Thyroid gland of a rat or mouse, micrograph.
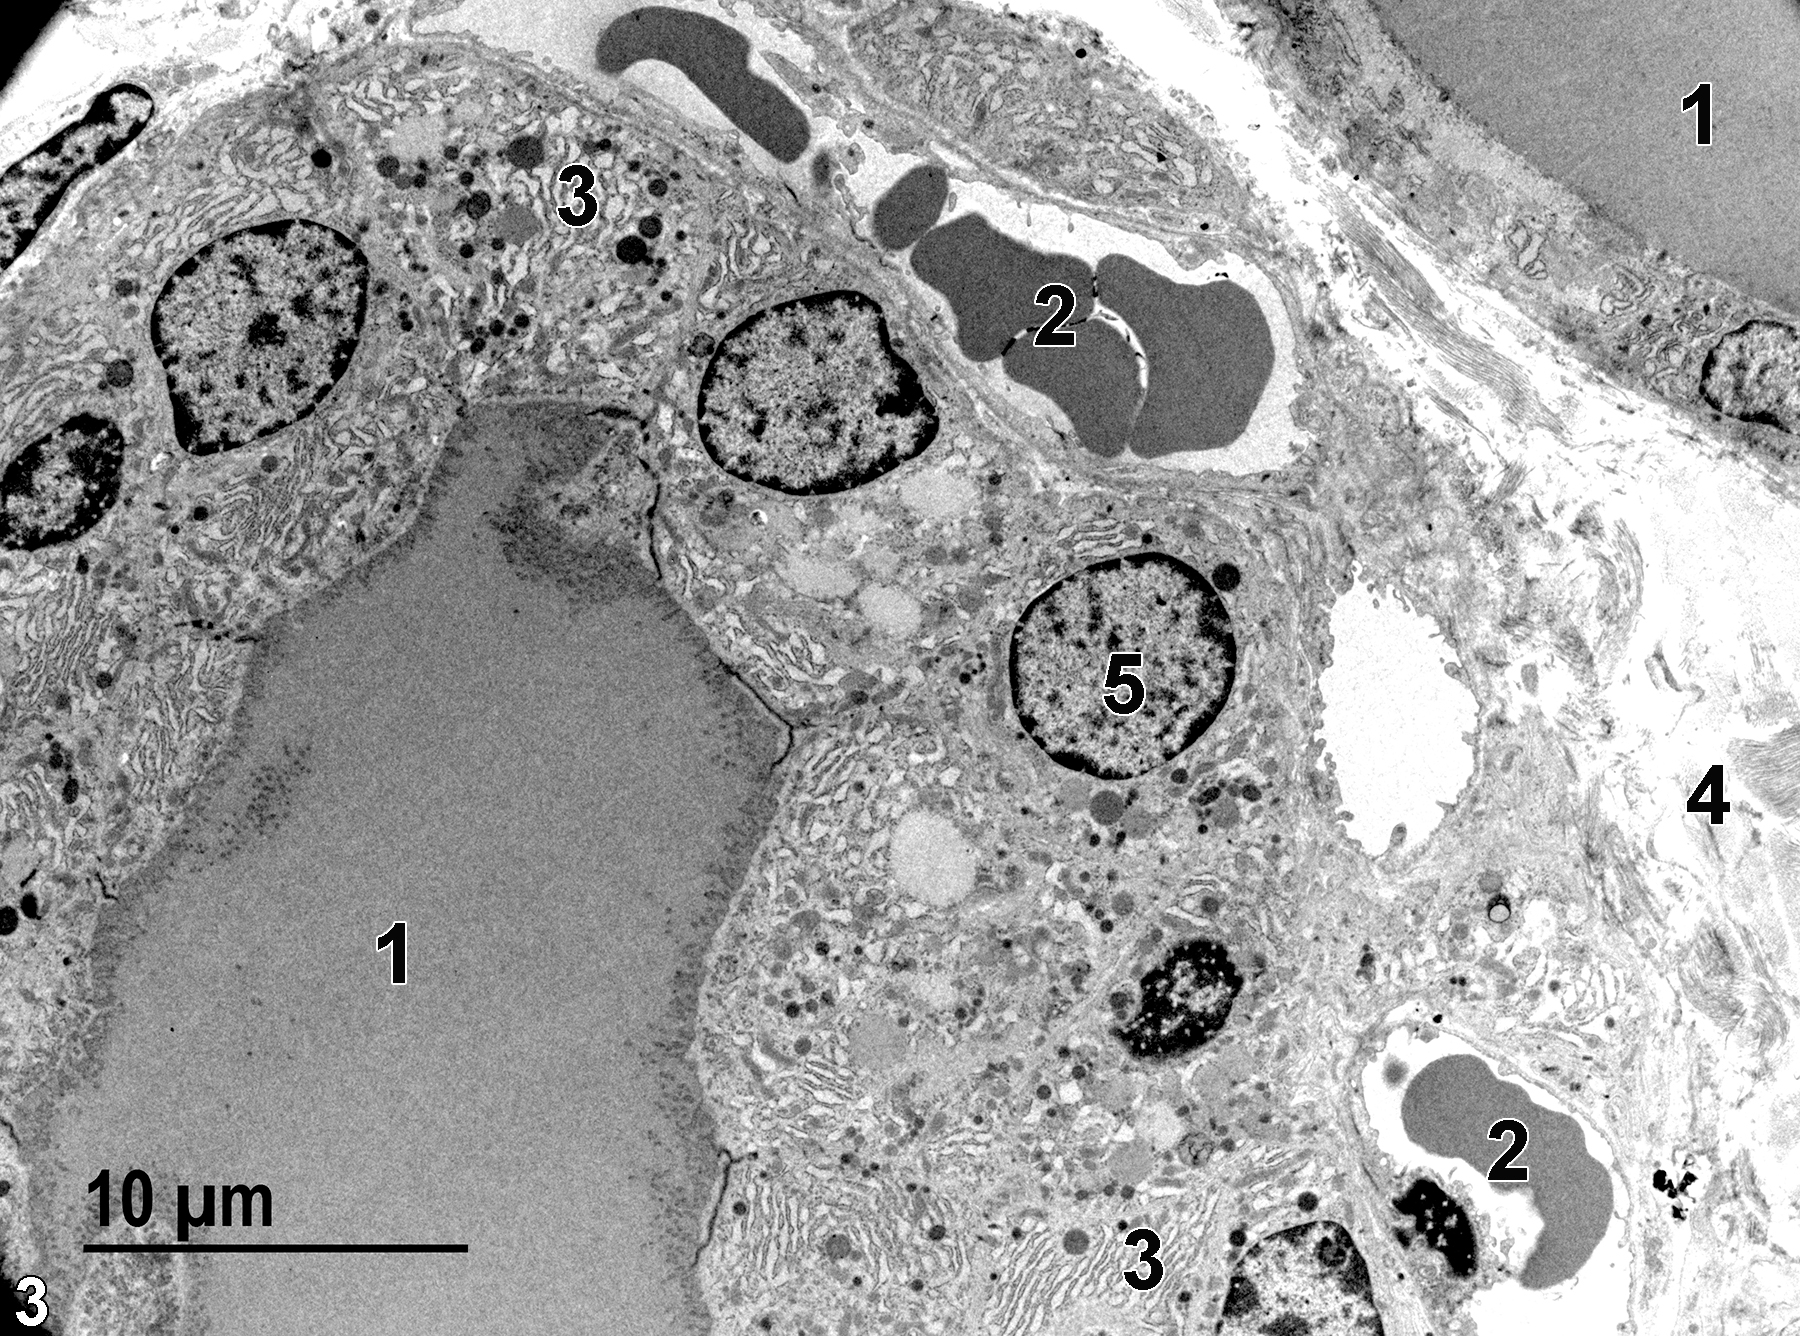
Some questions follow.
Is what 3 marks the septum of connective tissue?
No: the rough endoplasmic reticulum.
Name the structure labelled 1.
Colloid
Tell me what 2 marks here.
capillaries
